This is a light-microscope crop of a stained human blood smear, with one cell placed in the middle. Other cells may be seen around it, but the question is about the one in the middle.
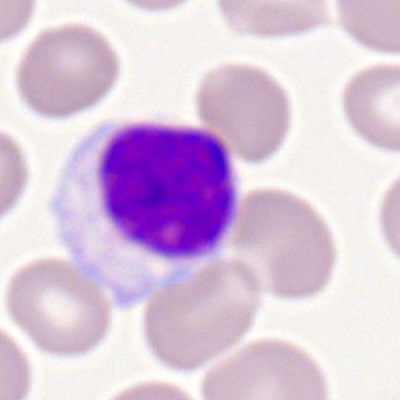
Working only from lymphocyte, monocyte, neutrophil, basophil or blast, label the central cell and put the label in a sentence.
The cell under consideration, at the middle of the crop, is a lymphocyte.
